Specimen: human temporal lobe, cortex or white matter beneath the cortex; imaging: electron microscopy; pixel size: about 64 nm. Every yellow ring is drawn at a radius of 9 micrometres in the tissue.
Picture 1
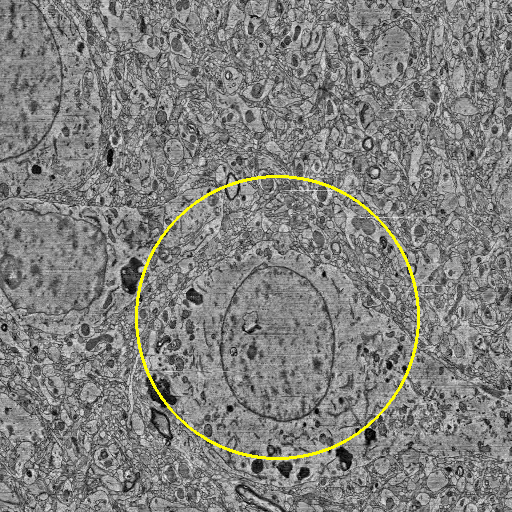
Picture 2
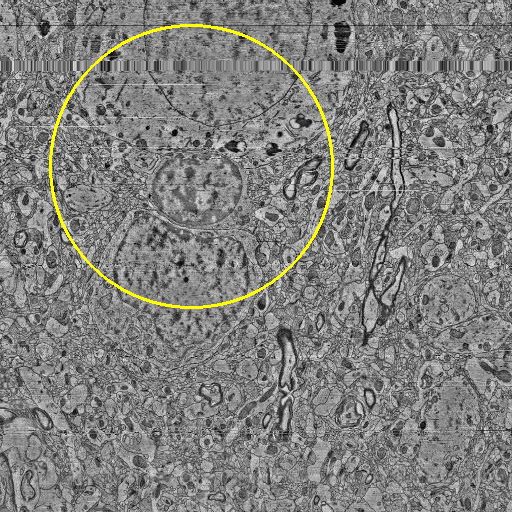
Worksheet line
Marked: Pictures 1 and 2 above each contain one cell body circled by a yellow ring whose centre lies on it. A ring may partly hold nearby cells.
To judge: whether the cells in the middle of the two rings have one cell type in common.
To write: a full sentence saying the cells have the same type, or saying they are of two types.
The cells in the middle of the rings in Picture 1 and Picture 2 are of two types.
